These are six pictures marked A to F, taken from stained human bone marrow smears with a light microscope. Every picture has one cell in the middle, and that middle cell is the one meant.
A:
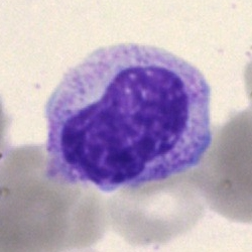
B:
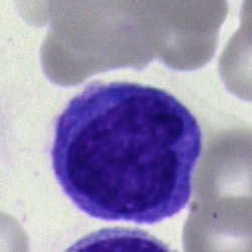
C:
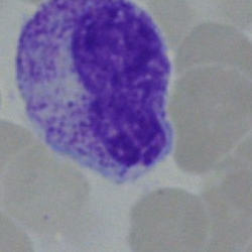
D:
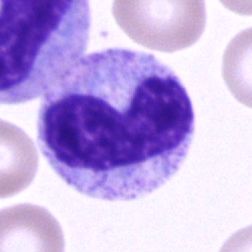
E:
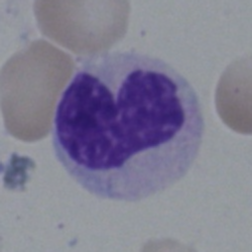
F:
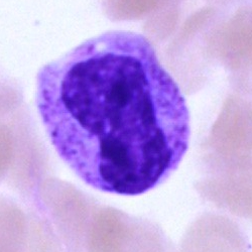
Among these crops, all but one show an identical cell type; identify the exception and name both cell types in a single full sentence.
Crop B shows a monocyte, while all of the others show metamyelocytes.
